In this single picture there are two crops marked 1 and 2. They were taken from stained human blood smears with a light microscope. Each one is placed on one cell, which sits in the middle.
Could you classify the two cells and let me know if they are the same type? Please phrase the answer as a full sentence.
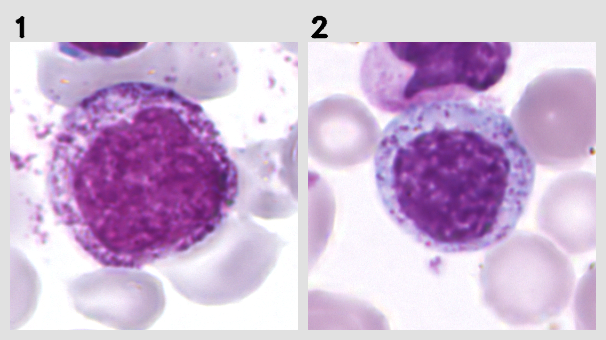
Yes, the crops both have myelocytes in the middle.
